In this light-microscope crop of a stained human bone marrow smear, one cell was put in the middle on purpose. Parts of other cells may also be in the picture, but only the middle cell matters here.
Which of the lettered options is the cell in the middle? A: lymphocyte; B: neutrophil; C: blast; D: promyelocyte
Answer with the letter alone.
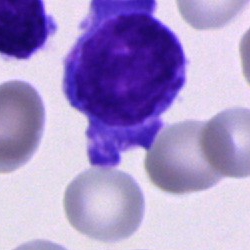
C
